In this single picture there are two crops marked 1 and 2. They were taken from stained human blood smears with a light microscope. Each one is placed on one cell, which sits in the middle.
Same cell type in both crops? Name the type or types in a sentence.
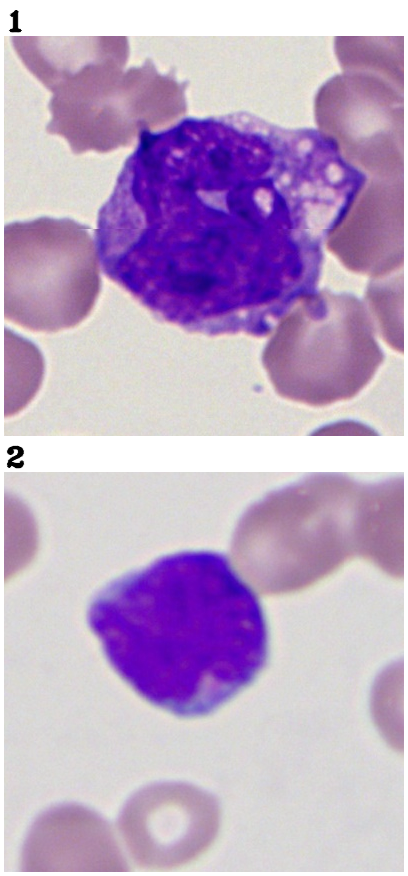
No, crop 1 captures a monocyte; meanwhile crop 2 captures a myeloblast.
